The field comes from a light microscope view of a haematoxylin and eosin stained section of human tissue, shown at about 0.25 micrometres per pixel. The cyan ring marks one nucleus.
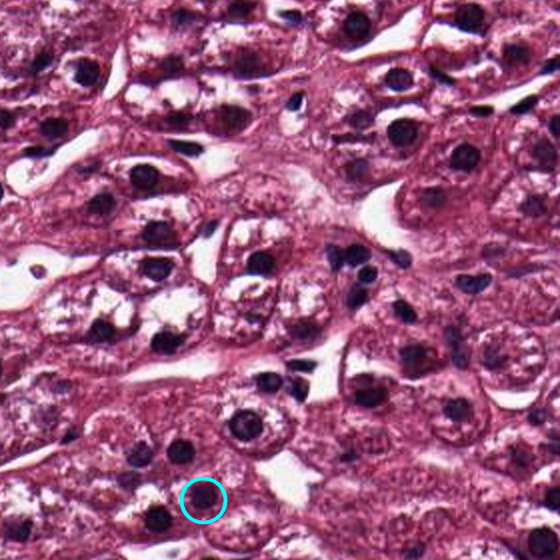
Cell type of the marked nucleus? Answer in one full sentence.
The marked nucleus is recognized as the nucleus of an adrenal cortical cell.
